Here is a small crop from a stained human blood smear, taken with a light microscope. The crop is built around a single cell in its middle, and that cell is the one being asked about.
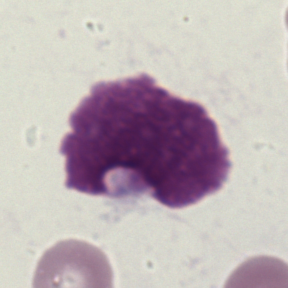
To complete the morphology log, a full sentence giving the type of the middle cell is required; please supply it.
The cell that lies at the centre of the crop is a smudge cell.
